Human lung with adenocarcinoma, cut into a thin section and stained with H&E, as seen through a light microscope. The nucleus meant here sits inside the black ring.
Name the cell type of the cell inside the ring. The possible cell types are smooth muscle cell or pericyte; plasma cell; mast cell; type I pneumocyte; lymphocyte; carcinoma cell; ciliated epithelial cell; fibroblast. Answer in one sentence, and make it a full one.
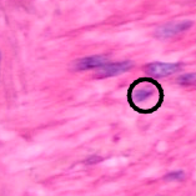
For cell typing purposes, the cell inside the ring is a smooth muscle cell or pericyte.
